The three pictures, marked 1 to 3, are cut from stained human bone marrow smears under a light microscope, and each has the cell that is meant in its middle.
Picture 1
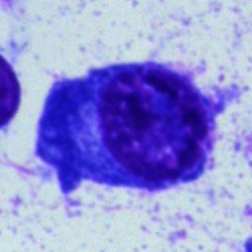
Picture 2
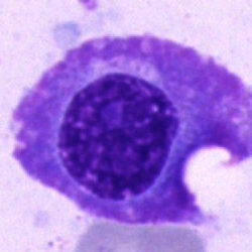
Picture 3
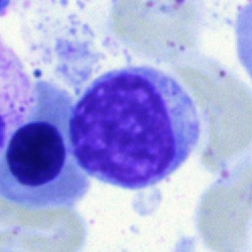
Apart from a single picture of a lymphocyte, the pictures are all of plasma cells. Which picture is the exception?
3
